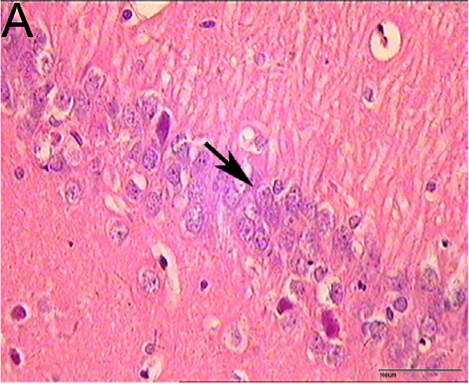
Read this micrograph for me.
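This is hippocampal tissue with a band of neurons running diagonally through pink neuropil. The neurons are packed several deep, with round pale nuclei, clear chromatin and distinct nucleoli, set in a little purple cytoplasm.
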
